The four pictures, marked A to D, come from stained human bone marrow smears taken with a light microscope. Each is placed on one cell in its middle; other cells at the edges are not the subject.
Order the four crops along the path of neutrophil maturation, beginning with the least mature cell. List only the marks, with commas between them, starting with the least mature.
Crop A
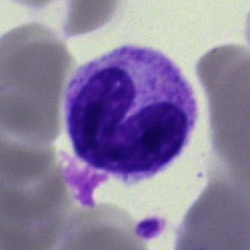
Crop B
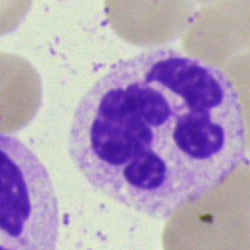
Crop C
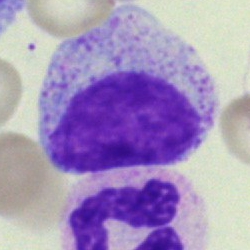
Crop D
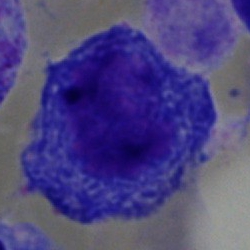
D, C, A, B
